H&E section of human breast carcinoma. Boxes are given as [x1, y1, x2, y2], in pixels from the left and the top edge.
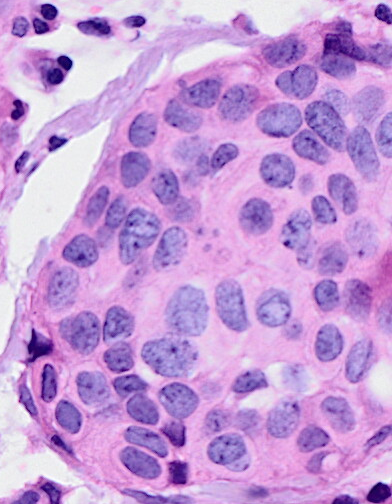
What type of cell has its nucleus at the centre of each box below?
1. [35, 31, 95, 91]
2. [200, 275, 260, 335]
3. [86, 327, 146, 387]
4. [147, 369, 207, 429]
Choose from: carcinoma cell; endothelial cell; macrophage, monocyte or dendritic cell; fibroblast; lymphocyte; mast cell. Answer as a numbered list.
1. lymphocyte
2. carcinoma cell
3. carcinoma cell
4. carcinoma cell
